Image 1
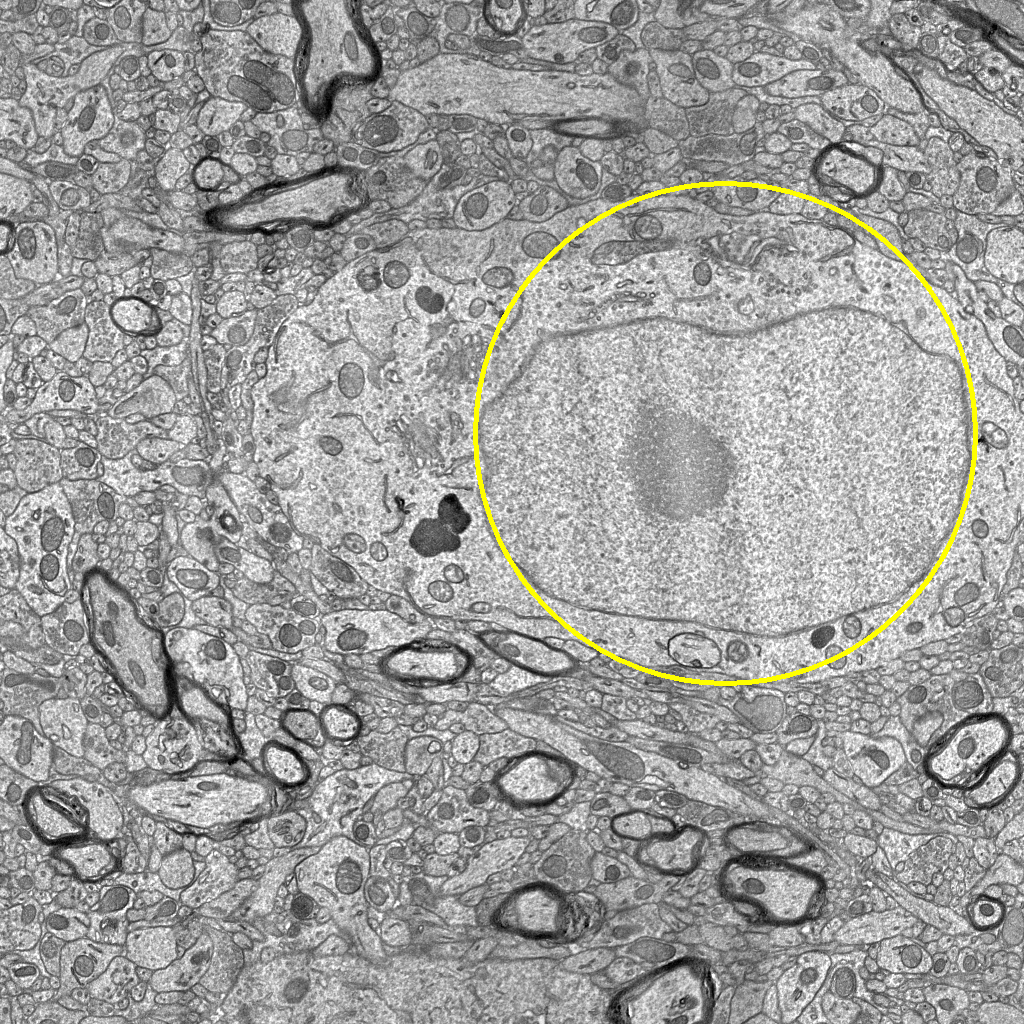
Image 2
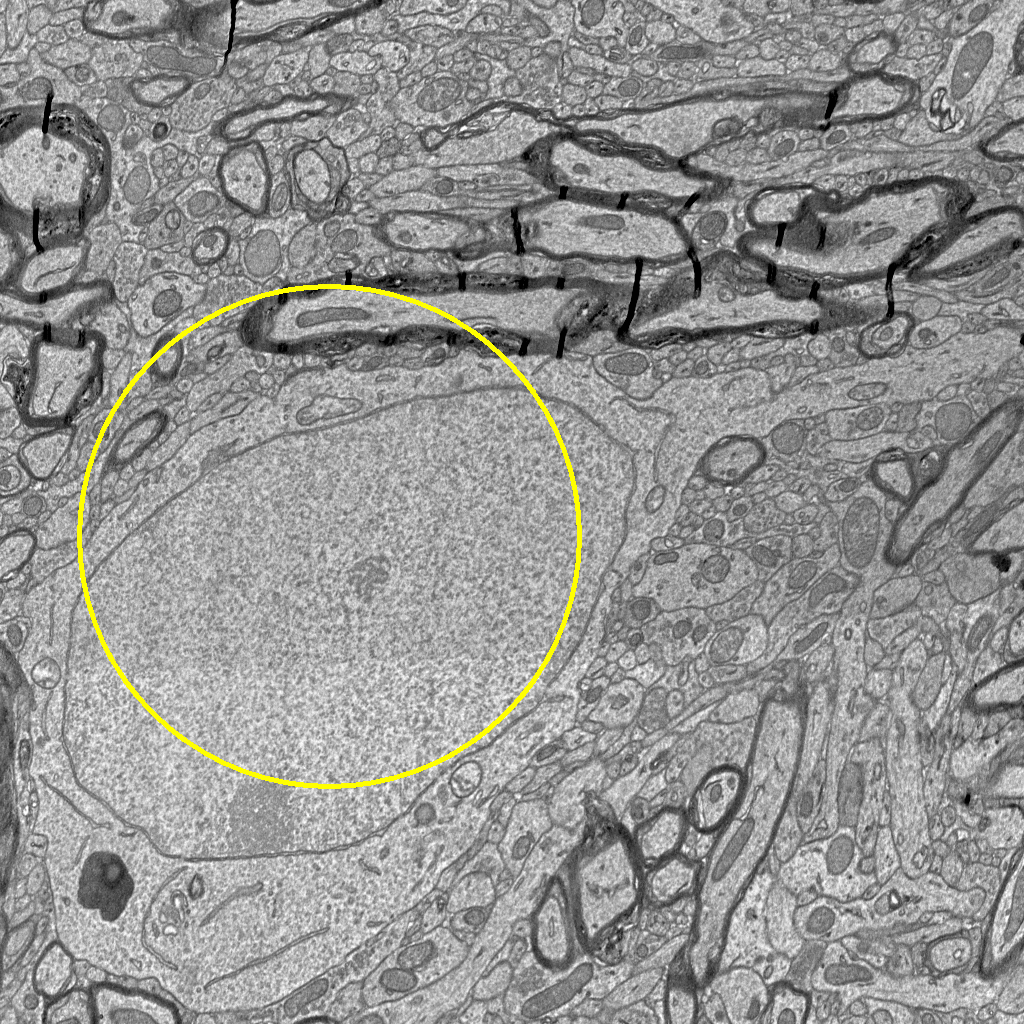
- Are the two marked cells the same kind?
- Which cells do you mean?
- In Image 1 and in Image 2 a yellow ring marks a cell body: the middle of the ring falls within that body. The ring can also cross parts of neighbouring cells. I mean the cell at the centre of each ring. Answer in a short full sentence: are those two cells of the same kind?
Yes, both cells are of the same kind.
